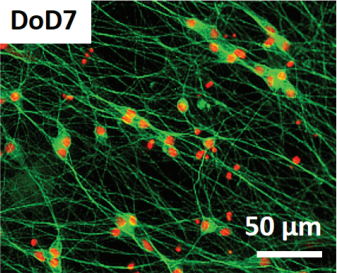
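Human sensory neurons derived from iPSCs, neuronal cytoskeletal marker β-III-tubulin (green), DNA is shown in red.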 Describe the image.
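Green processes of varied thickness run from the cell bodies and cross in all directions, forming a thick interwoven network that fills the spaces between cells, with some processes gathered into bundles. Small bright red dots lie among the cells, apart from the cell bodies, possibly fragments of nuclear material.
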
